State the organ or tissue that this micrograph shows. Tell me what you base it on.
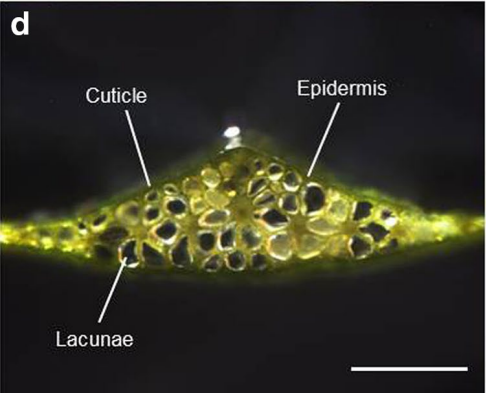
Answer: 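A lens-shaped thickened section tapers into a thin blade on both sides. The thickened part is filled with many air spaces.
Leaf midrib.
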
